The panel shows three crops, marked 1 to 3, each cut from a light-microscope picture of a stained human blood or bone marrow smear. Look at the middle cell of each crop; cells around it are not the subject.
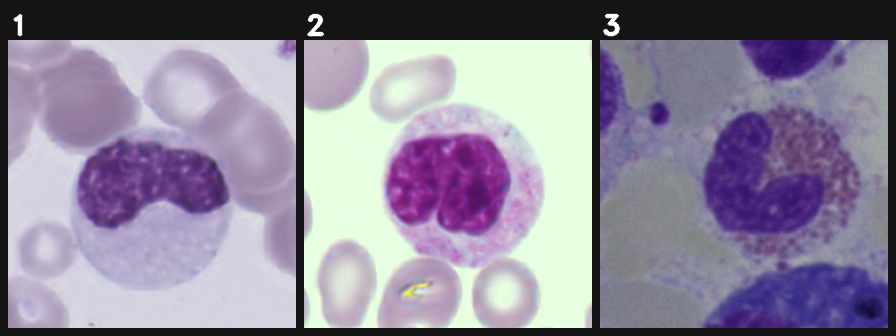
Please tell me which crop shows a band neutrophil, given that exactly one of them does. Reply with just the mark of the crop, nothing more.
2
